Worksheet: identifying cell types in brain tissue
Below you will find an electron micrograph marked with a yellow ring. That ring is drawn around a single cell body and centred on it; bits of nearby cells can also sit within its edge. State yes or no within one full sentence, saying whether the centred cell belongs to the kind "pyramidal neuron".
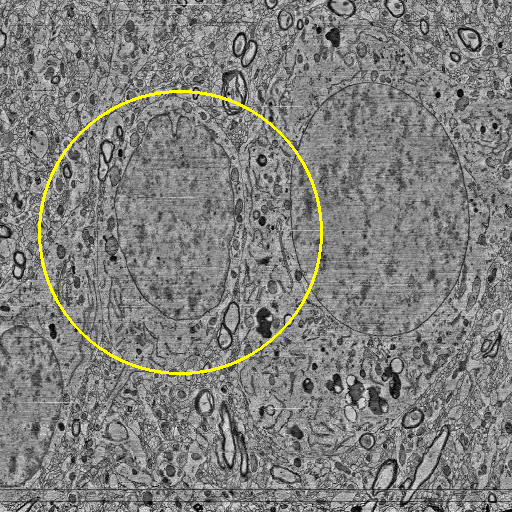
Yes, the cell sitting at the centre of the yellow ring in this picture is of that kind.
